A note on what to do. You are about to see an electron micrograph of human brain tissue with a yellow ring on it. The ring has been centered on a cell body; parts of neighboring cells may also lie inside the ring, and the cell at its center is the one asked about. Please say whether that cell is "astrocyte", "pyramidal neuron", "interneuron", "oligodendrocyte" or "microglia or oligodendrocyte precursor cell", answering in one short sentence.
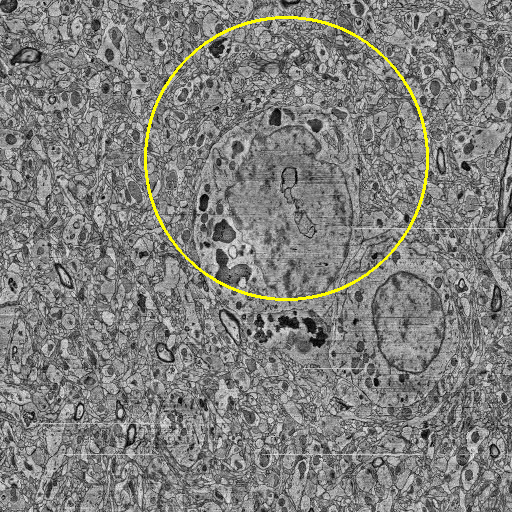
The yellow ring sits on an interneuron.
